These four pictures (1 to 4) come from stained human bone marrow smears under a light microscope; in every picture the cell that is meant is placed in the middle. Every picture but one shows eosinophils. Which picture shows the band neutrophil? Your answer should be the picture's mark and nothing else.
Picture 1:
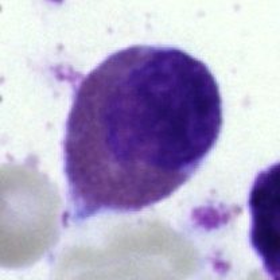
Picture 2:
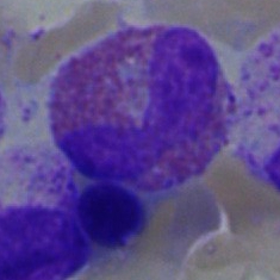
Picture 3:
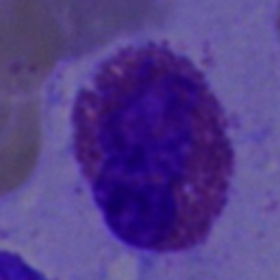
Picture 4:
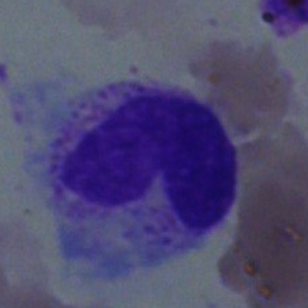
4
